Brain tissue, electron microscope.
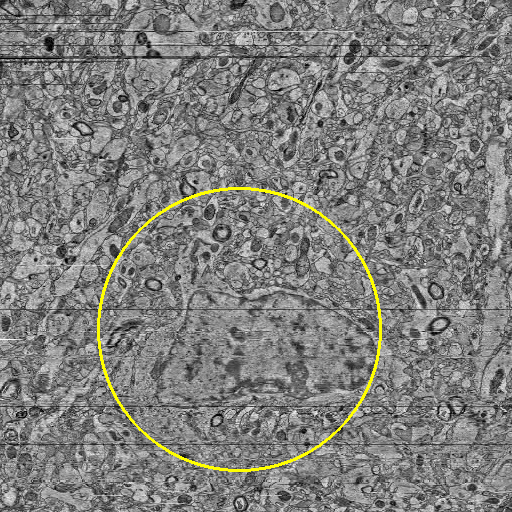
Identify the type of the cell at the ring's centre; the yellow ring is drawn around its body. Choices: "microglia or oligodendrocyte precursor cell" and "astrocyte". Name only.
microglia or oligodendrocyte precursor cell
